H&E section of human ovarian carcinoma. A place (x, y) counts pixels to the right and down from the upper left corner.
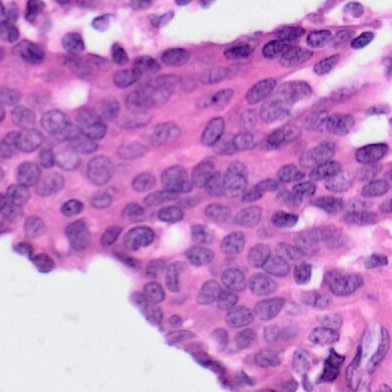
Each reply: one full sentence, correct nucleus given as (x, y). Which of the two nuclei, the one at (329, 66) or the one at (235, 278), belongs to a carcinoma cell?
The nucleus whose position is (235, 278) belongs to a carcinoma cell.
